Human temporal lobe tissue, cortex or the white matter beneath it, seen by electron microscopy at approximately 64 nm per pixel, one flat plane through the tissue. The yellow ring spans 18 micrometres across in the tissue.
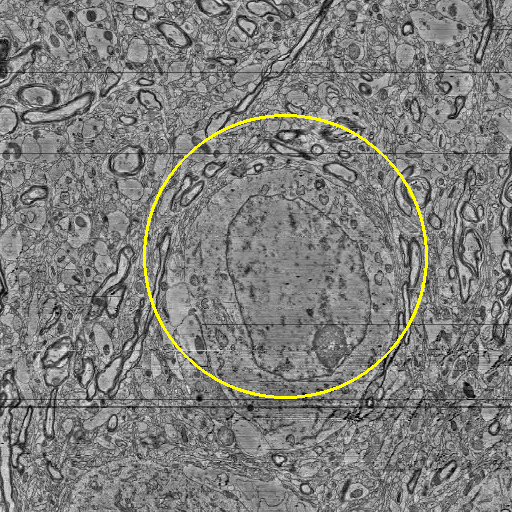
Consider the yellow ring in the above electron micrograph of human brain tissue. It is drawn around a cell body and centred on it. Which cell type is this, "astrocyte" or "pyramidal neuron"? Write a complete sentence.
The cell in question is a pyramidal neuron.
